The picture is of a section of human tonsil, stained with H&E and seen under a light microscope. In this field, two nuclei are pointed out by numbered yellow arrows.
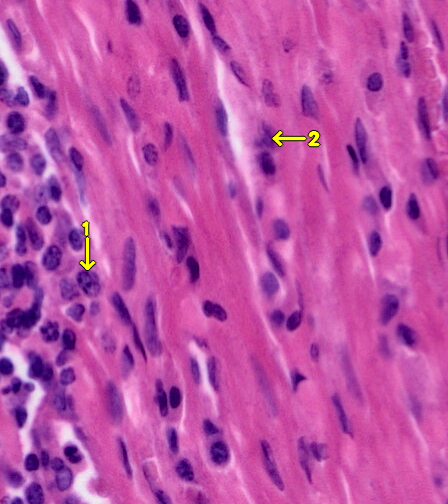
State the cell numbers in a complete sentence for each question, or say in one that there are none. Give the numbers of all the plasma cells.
Of the numbered cells, only cell 1 is a plasma cell.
